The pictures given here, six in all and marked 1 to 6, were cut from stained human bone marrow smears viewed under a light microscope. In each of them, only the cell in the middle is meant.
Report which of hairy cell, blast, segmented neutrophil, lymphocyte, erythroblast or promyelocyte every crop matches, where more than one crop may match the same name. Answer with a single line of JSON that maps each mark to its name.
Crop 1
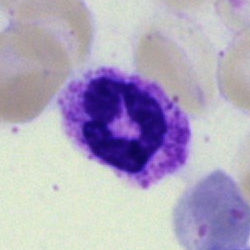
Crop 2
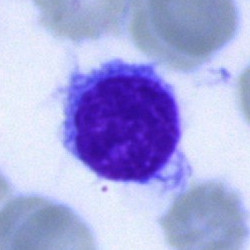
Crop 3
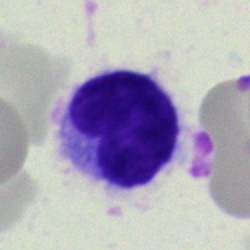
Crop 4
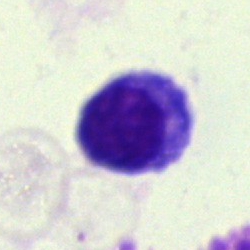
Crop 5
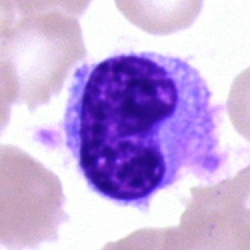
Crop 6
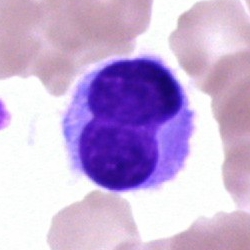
{"1": "segmented neutrophil", "2": "hairy cell", "3": "hairy cell", "4": "lymphocyte", "5": "hairy cell", "6": "hairy cell"}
